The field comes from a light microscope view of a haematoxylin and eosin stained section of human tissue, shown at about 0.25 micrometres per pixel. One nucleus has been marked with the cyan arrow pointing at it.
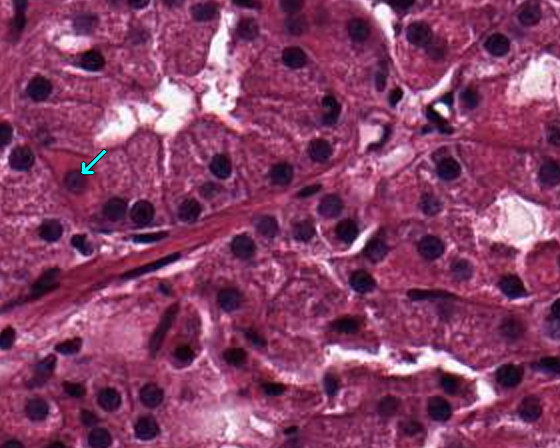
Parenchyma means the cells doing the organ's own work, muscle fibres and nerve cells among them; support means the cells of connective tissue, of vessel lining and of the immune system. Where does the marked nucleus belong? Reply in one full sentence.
Belonging to a parenchymal cell, the marked nucleus is that of a parietal cell.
